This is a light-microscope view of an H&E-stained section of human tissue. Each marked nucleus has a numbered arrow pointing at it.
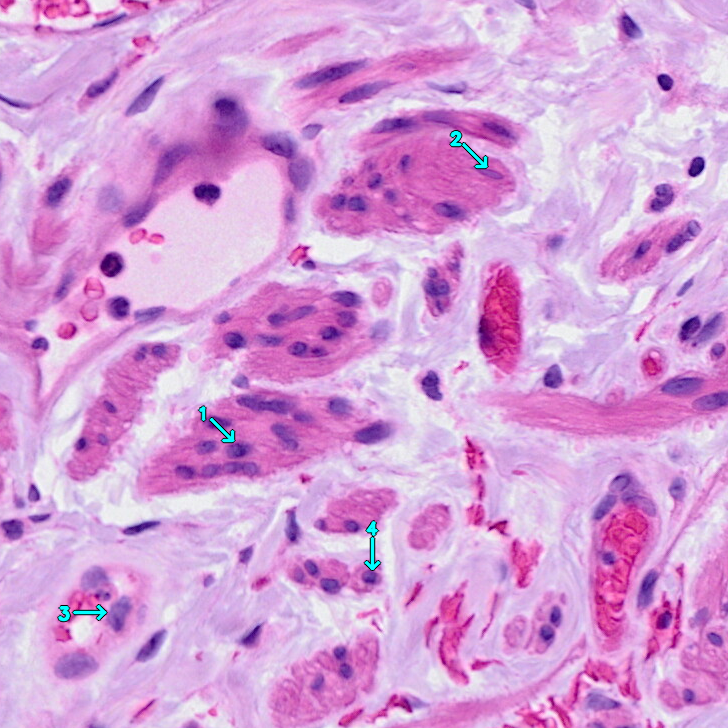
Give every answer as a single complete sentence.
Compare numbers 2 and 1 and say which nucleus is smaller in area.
Nucleus 2 covers less area, with nucleus 1 about 2 times as large.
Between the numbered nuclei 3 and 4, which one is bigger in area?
At about 4 times the area of nucleus 4, nucleus 3 is the larger of the two.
